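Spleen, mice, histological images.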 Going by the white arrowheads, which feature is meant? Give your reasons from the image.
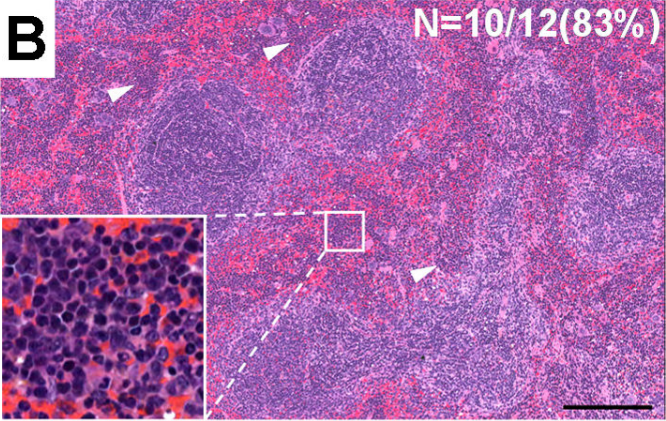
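Foci of erythroblastic islets. The arrowheads point into the red pulp between dark purple lymphoid follicles. The enlarged inset shows densely packed round dark nuclei mixed with red erythrocytes.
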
